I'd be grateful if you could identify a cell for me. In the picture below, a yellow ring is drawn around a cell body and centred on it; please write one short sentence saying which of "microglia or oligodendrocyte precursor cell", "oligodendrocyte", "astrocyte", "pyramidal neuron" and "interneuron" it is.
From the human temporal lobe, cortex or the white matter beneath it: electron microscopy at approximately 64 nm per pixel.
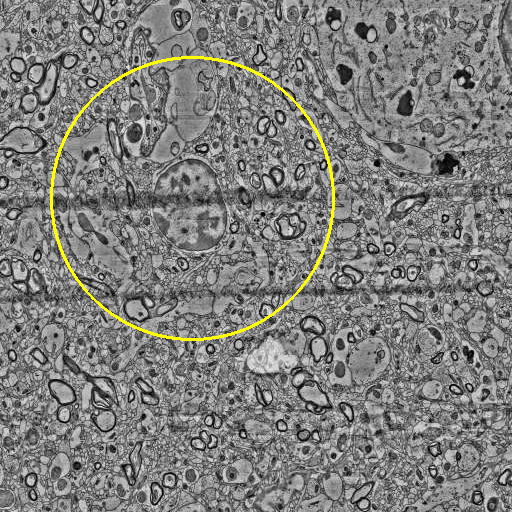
The cell under the ring's centre is a microglial cell or oligodendrocyte precursor cell.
